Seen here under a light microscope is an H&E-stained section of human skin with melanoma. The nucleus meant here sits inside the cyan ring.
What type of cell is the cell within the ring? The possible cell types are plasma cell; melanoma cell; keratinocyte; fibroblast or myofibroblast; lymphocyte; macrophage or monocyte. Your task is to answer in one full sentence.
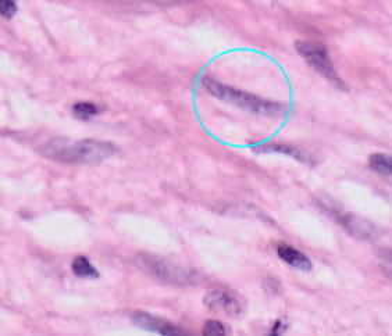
The cell type of the cell within the ring is that of a fibroblast or myofibroblast.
